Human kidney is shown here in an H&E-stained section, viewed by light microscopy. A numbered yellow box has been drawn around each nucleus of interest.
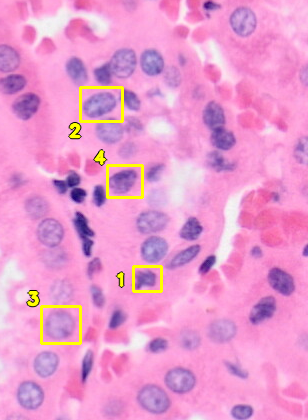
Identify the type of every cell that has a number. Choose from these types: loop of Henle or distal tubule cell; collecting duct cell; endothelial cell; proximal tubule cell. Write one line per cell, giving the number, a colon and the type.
1: loop of Henle or distal tubule cell
2: collecting duct cell
3: proximal tubule cell
4: collecting duct cell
